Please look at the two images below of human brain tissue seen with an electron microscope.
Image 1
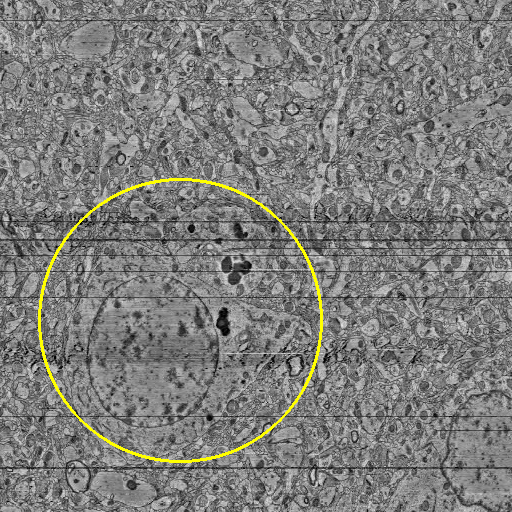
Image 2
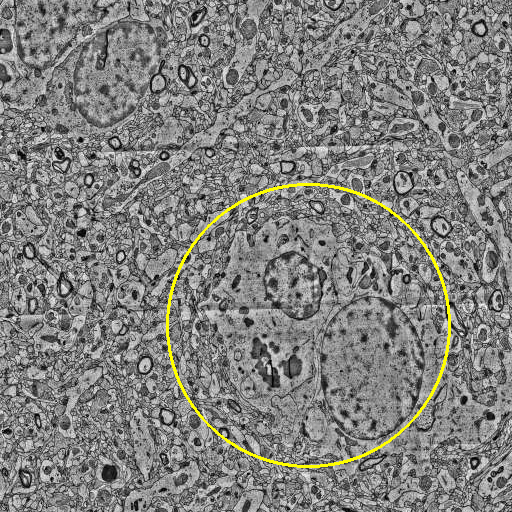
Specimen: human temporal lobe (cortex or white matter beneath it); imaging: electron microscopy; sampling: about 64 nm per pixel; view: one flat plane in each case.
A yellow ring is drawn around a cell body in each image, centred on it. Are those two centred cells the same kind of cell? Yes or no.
no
